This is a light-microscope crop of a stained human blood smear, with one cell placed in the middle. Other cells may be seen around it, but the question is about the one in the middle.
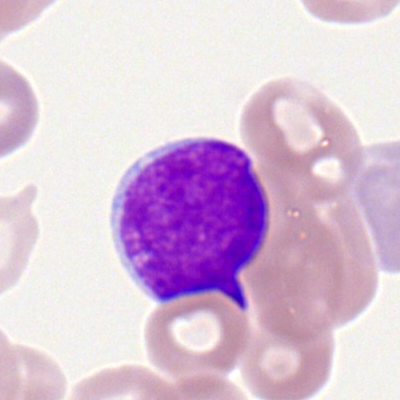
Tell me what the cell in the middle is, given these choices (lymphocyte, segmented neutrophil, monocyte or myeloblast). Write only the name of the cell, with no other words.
myeloblast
